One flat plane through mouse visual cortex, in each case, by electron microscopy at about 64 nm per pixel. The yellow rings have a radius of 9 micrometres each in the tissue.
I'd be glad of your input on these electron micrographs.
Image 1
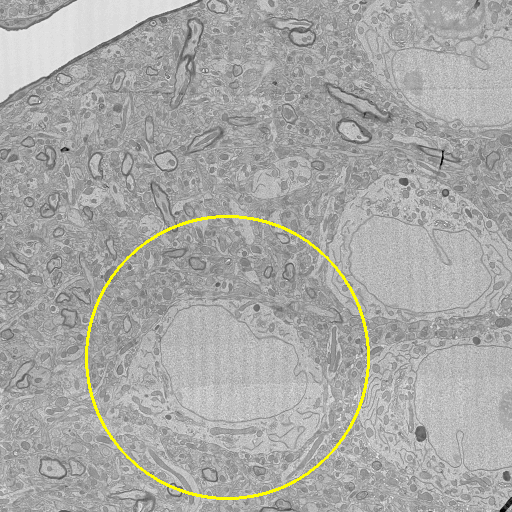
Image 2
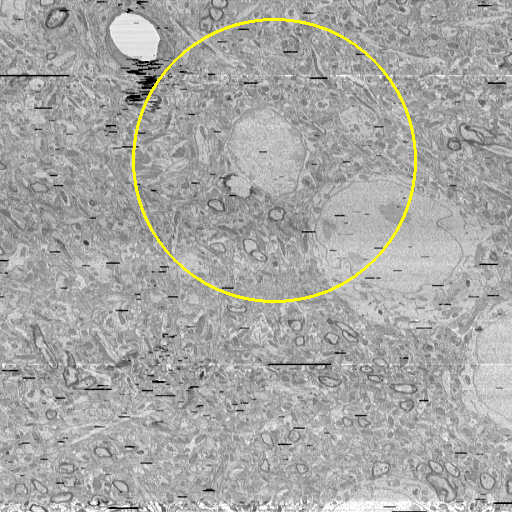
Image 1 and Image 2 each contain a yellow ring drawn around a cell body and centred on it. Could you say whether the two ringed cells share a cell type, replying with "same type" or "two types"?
two types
